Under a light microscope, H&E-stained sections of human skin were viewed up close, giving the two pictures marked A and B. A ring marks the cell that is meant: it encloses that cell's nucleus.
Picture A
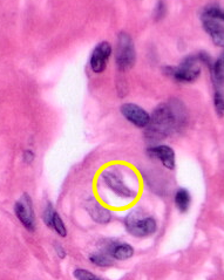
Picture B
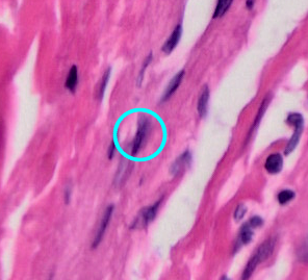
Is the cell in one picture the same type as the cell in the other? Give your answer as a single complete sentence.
Yes, they are the same type: both are endothelial cells.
